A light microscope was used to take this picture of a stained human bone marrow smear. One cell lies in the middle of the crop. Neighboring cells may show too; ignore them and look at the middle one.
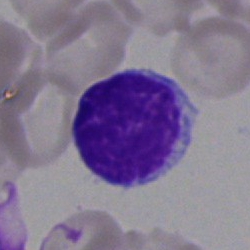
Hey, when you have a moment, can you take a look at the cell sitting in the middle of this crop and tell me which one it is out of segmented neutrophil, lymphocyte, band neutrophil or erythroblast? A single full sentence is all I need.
The cell at the centre of the field is a lymphocyte.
